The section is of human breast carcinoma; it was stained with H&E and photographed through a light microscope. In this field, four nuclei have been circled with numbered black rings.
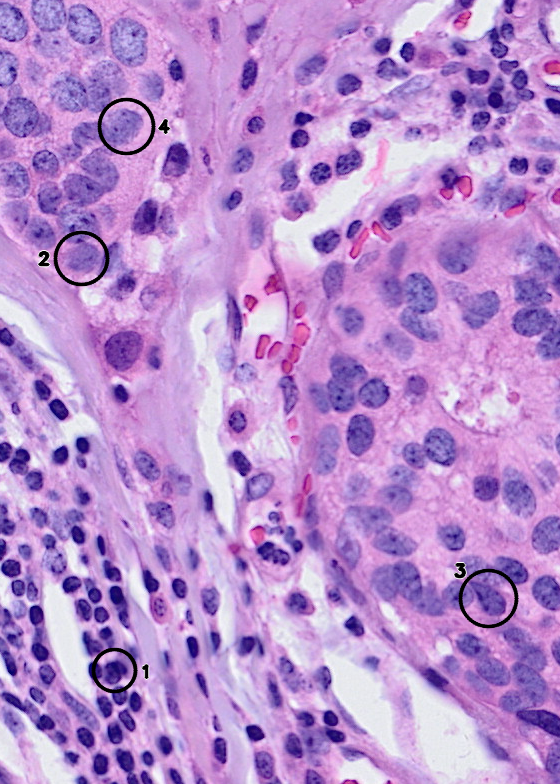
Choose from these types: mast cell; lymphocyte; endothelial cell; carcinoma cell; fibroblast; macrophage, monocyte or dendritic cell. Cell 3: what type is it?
carcinoma cell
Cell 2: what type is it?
carcinoma cell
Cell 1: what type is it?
lymphocyte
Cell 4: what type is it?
carcinoma cell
